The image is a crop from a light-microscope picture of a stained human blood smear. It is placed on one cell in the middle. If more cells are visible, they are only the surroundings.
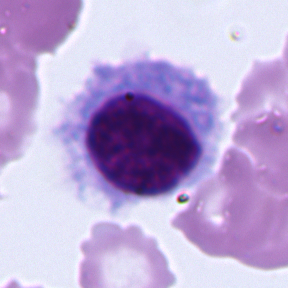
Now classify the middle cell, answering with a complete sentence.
For this crop, the central cell is a hairy cell.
